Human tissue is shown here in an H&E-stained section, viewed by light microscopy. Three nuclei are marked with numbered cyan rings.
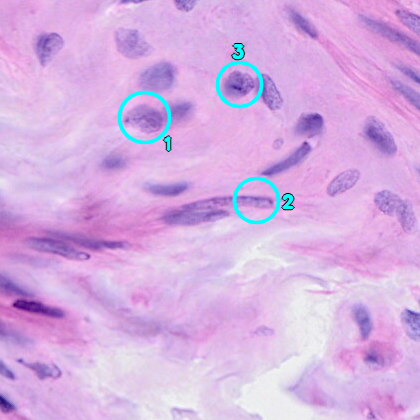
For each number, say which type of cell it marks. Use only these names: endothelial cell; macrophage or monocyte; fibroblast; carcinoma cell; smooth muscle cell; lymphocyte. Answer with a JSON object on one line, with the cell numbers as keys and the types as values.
{"1": "fibroblast", "2": "smooth muscle cell", "3": "fibroblast"}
